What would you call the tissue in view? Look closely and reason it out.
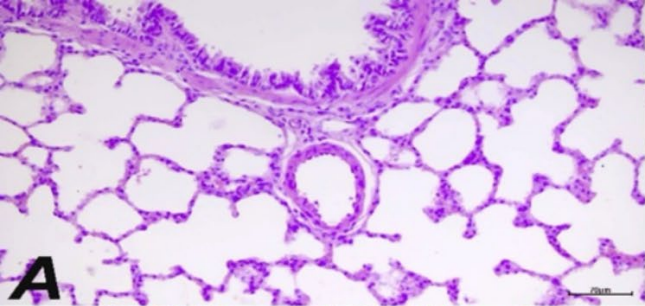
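Thin-walled polygonal air spaces fill most of the field. A tube lined by columnar epithelium runs along the top. A small round vessel lies beside the airway. On this evidence: Lung tissue.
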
